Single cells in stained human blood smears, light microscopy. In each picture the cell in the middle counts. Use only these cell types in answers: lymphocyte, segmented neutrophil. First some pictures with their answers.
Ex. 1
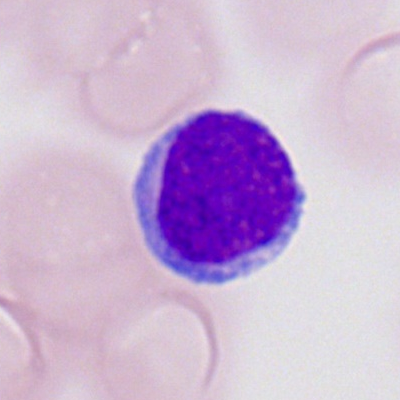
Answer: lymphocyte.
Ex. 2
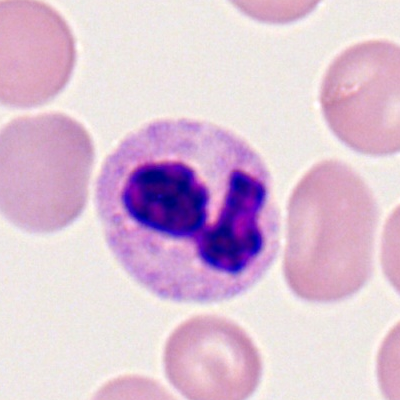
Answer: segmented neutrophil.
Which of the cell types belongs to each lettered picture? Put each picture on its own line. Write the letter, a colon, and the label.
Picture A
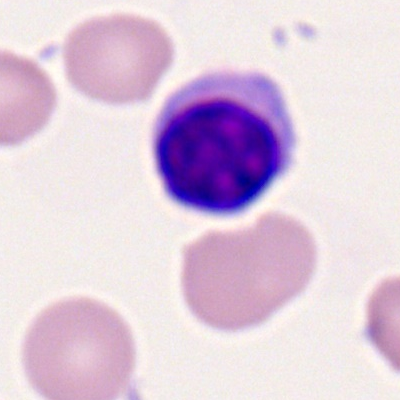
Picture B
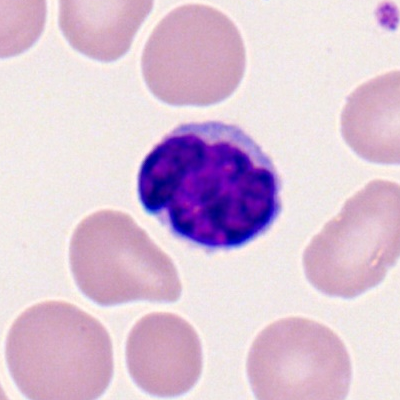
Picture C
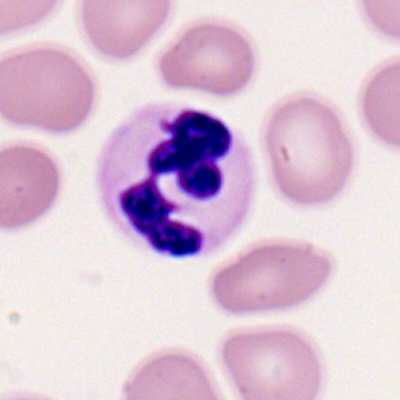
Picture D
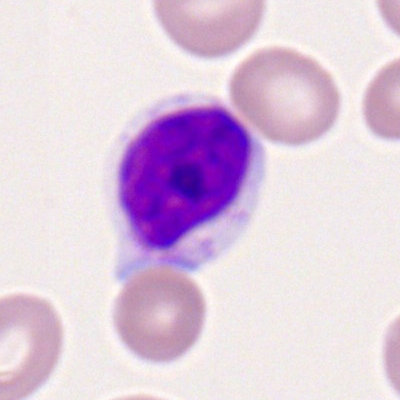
A: lymphocyte.
B: lymphocyte.
C: segmented neutrophil.
D: lymphocyte.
